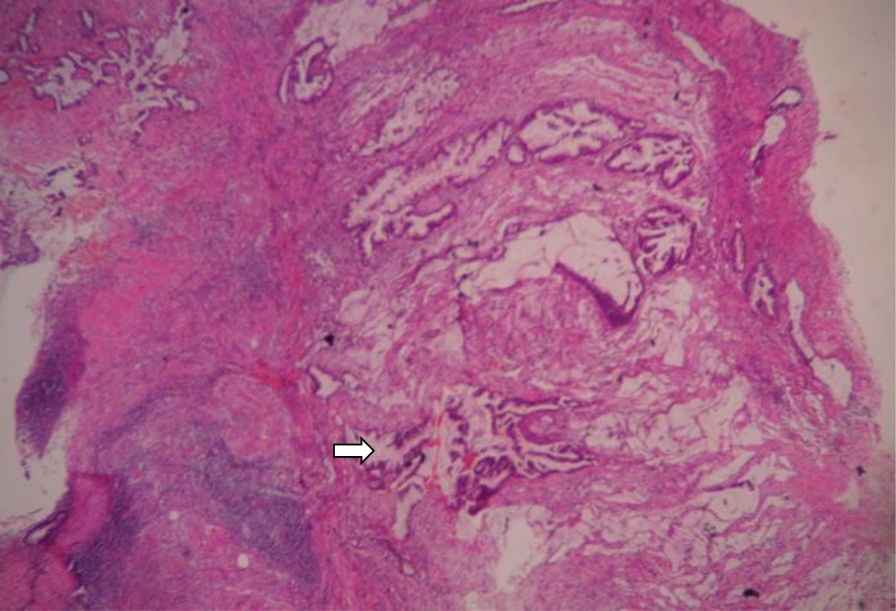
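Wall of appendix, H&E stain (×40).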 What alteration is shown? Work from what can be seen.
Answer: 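Irregular glands lined by dark-staining epithelium float in large pale, wispy pools. Pale extracellular material occupies much of the right half of the section. Dense purple lymphoid aggregates lie at the lower left beside the glands. On this evidence: mucinous adenocarcinoma.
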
